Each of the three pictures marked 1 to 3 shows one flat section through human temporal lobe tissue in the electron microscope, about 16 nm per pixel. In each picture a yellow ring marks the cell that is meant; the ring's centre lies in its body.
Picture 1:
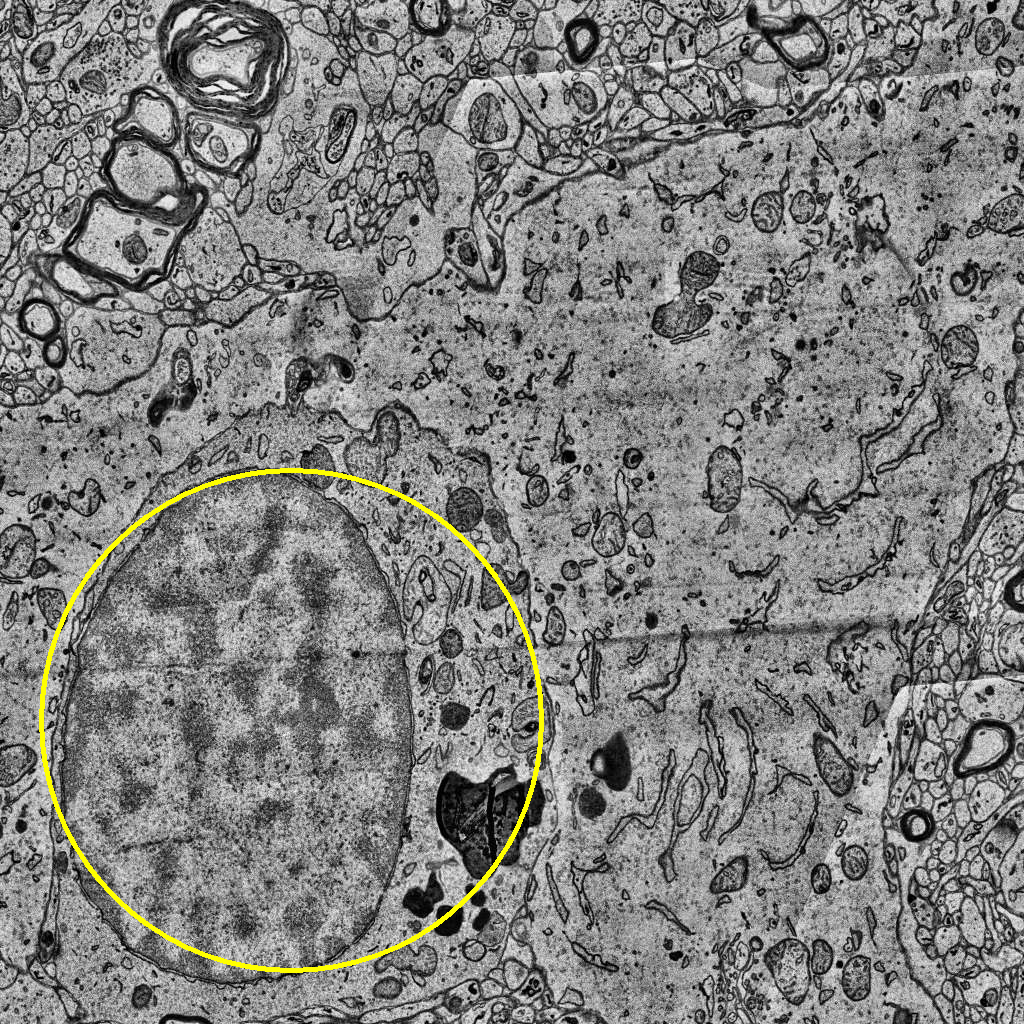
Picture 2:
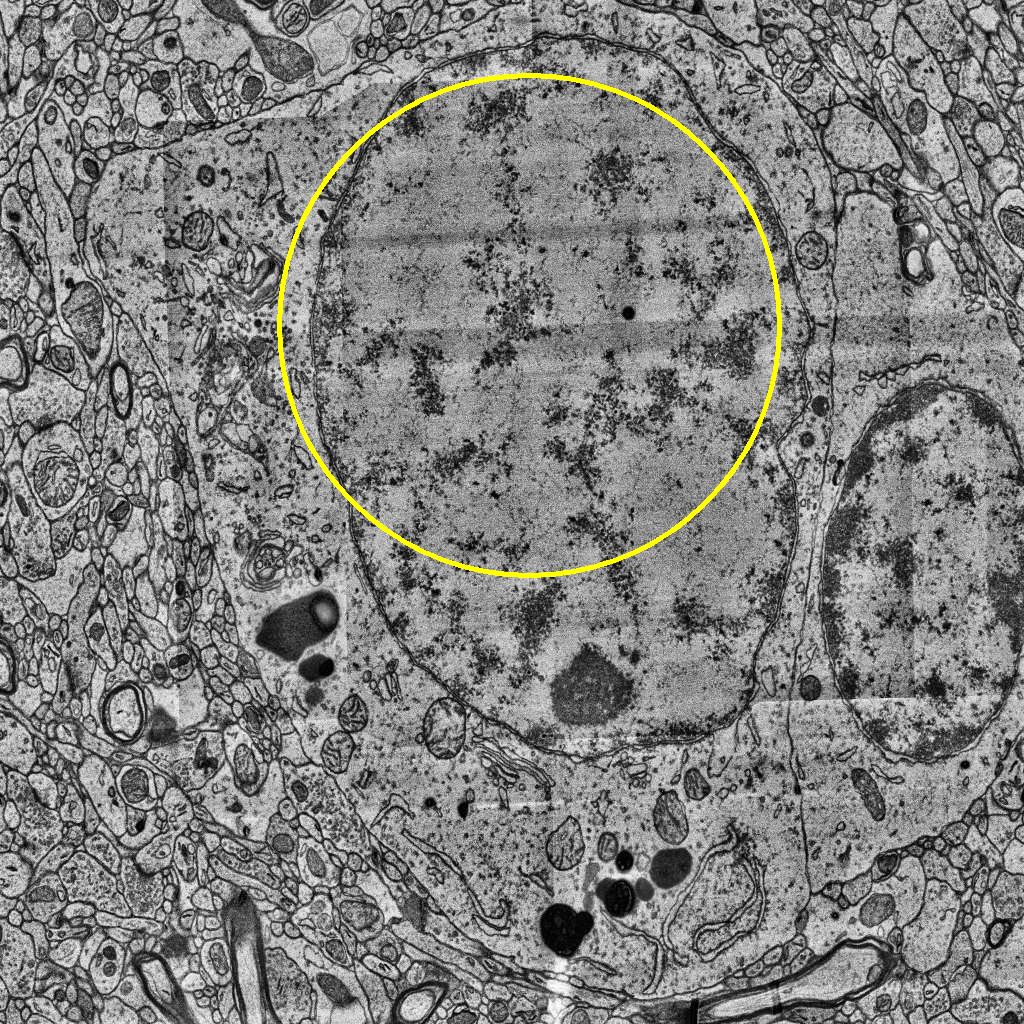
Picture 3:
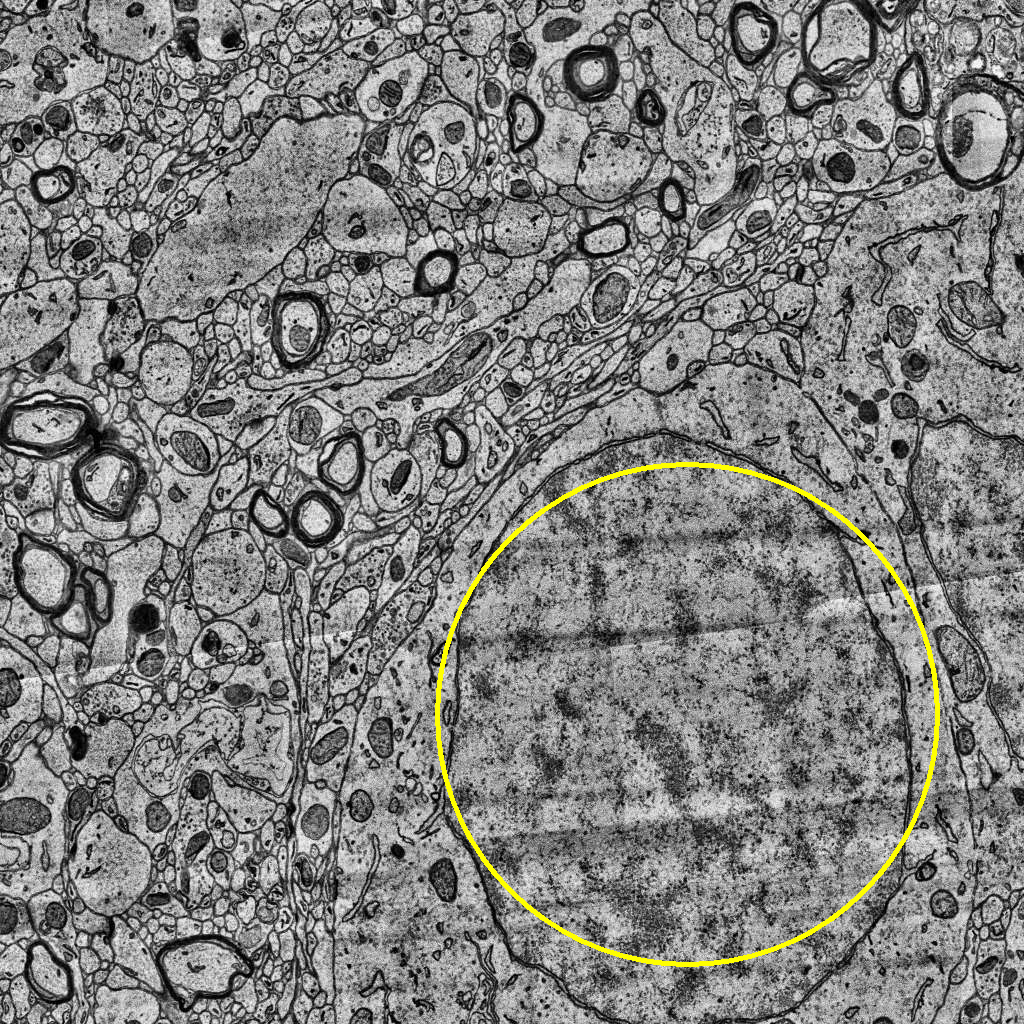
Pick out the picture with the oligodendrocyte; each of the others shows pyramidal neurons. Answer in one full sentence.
The picture with the oligodendrocyte is 1.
